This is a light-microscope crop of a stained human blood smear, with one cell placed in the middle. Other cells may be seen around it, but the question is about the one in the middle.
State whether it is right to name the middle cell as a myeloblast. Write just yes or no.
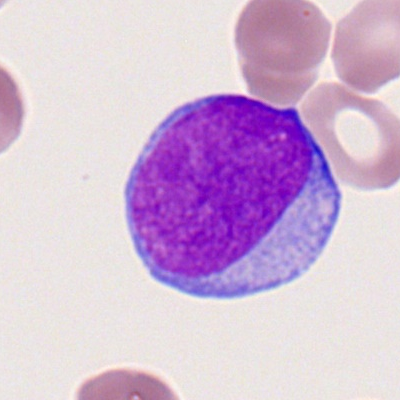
yes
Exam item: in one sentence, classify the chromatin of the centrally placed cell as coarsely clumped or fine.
The chromatin is fine, with no coarse clumping anywhere.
